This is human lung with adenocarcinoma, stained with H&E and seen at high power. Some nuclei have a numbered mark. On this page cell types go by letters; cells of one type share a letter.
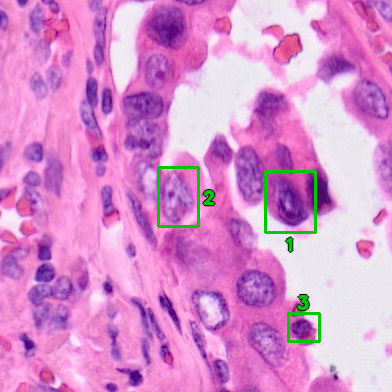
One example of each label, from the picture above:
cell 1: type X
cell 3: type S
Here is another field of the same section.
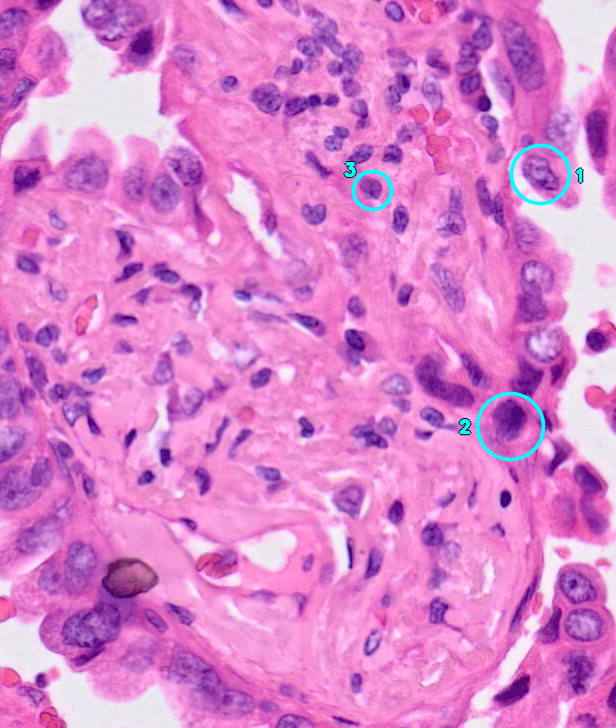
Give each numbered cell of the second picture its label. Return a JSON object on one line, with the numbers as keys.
{"1": "type X", "2": "type X", "3": "type S"}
